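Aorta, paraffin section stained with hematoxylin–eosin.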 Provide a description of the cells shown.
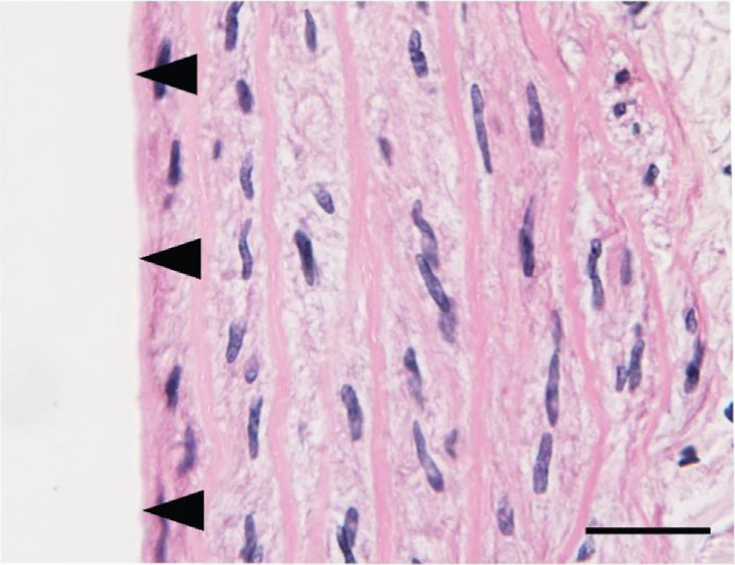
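This is a section of the aortic wall, with the lumen at the left, in which the intimal surface lacks a continuous lining of flattened cells. The luminal edge is formed by a pale pink band over the layered wall. The wall shows elongated, spindle-shaped purple nuclei arranged in rows parallel to the surface, separated by wavy pink lamellae. The matrix between the bands appears pale and finely fibrillar.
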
